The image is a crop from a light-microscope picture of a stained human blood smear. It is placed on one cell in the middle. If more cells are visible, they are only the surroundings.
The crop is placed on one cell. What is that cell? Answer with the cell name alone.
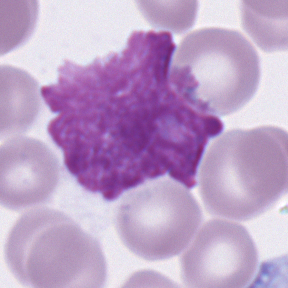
smudge cell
